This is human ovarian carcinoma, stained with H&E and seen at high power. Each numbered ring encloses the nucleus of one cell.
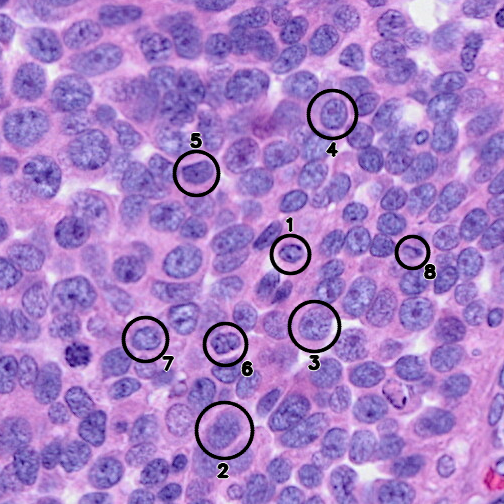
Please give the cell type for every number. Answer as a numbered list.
1. macrophage or monocyte
2. carcinoma cell
3. carcinoma cell
4. carcinoma cell
5. carcinoma cell
6. macrophage or monocyte
7. carcinoma cell
8. macrophage or monocyte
